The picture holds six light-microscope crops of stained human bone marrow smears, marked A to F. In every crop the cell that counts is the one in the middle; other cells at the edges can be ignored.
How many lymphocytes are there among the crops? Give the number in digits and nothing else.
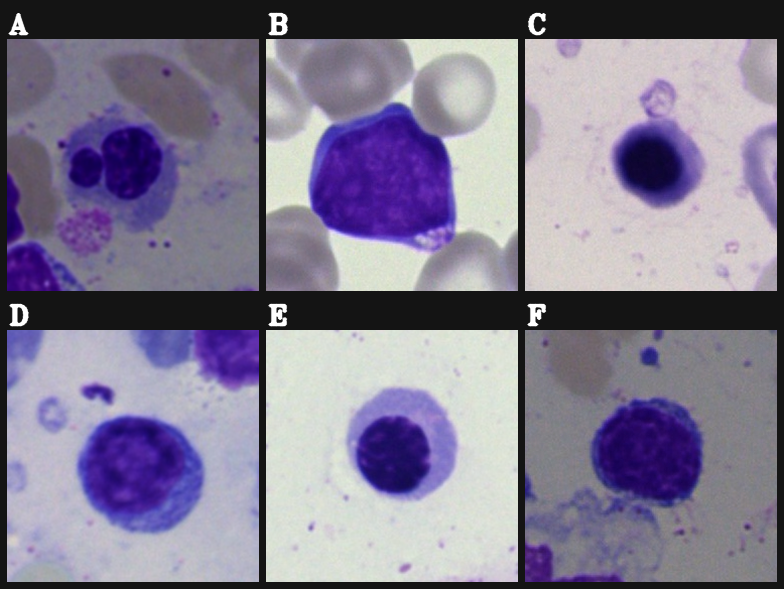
2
